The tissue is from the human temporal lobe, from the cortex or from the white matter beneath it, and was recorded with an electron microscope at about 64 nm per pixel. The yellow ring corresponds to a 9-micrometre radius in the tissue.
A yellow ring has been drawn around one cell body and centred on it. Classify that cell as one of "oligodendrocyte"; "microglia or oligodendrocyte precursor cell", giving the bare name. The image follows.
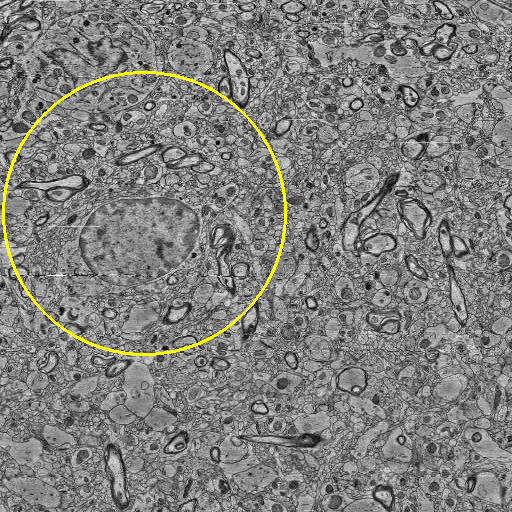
microglia or oligodendrocyte precursor cell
